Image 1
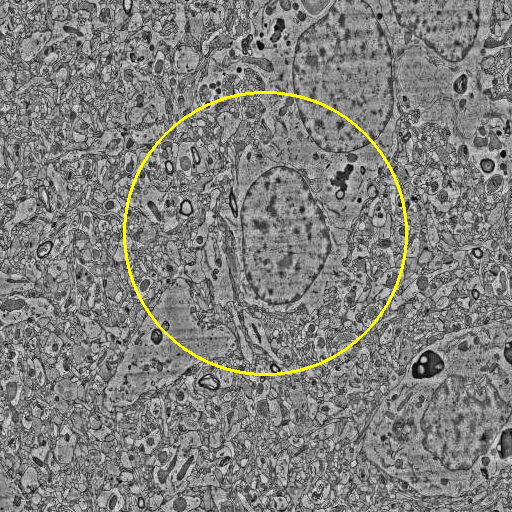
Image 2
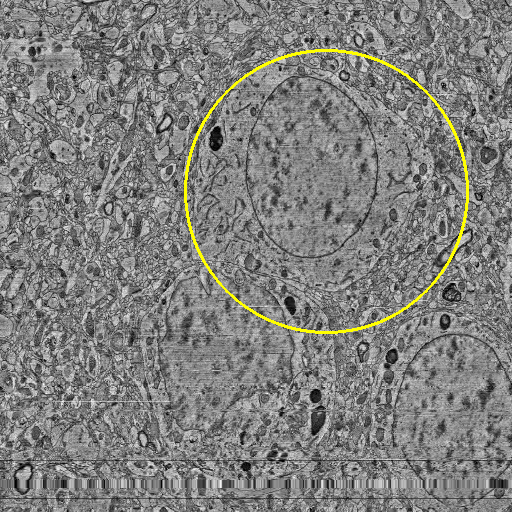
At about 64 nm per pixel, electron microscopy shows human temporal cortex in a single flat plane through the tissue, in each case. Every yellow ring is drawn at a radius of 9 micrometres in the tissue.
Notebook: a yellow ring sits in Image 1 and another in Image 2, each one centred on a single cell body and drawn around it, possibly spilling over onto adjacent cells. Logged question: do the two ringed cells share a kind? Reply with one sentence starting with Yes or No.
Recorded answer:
No, the centre cells inside the rings of Image 1 and Image 2 are of two kinds.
